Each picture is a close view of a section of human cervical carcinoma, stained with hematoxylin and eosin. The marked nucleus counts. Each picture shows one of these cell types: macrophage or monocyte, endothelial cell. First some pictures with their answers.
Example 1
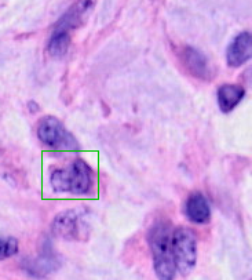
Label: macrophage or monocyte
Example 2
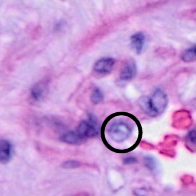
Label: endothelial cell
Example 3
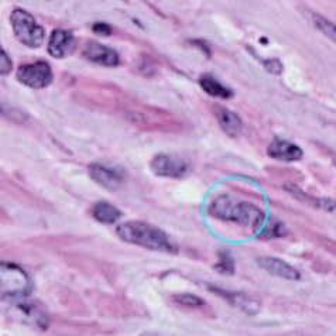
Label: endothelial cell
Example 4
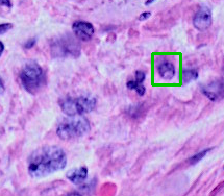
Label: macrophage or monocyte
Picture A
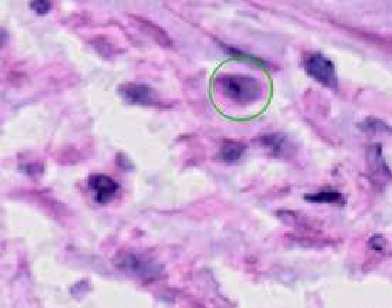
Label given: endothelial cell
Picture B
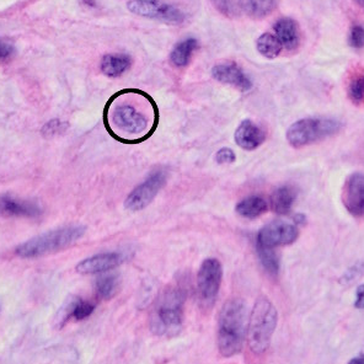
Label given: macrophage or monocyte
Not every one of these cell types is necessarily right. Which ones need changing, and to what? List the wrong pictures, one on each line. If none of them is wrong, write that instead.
A should be macrophage or monocyte, not endothelial cell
